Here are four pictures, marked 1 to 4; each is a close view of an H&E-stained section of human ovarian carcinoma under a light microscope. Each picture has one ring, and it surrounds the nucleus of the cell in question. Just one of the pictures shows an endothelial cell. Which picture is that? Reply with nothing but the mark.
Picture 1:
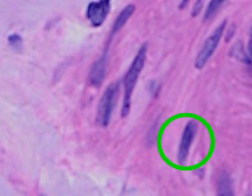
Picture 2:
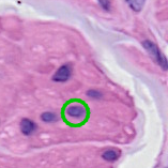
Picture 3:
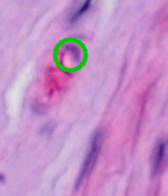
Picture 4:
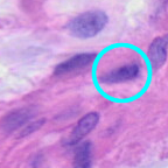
3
